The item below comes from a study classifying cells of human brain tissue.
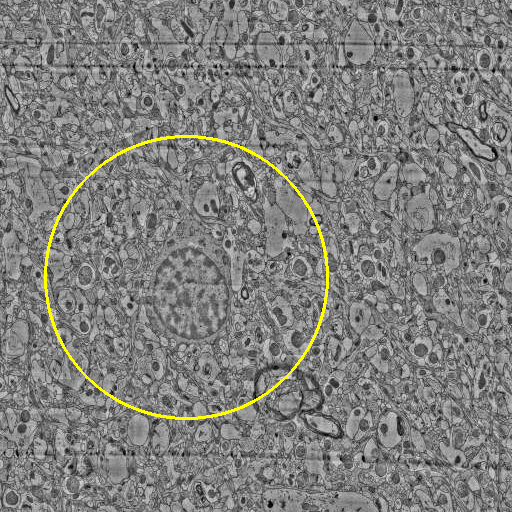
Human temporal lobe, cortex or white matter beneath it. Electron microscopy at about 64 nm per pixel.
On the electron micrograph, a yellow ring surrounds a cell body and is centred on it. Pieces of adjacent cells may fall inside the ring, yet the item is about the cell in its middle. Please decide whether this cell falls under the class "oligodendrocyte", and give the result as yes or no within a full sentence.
Yes, the cell at the middle of the ring on the micrograph belongs in that class.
